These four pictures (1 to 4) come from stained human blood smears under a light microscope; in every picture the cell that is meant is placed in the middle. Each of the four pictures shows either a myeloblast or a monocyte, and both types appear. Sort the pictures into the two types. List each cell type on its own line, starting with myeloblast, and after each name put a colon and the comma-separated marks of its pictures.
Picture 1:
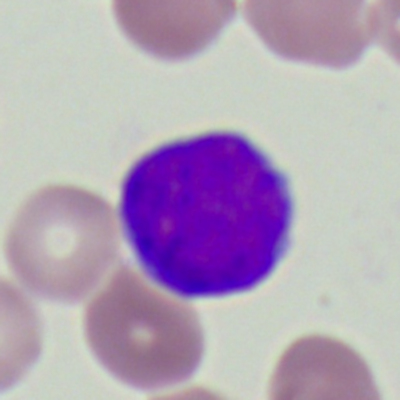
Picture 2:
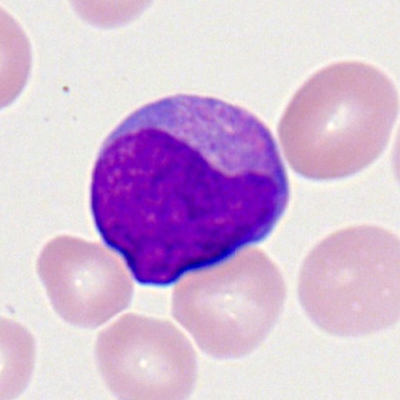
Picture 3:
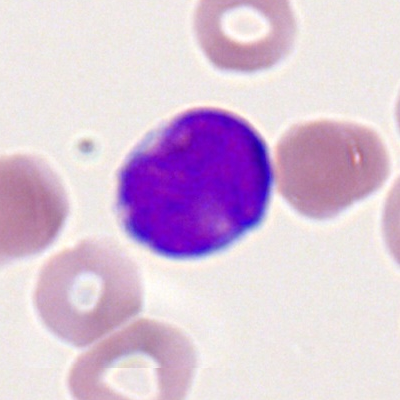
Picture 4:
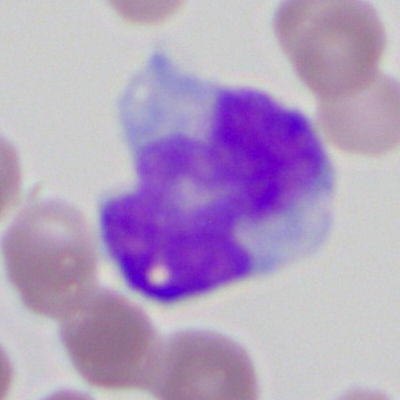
myeloblast: 1, 2, 3
monocyte: 4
